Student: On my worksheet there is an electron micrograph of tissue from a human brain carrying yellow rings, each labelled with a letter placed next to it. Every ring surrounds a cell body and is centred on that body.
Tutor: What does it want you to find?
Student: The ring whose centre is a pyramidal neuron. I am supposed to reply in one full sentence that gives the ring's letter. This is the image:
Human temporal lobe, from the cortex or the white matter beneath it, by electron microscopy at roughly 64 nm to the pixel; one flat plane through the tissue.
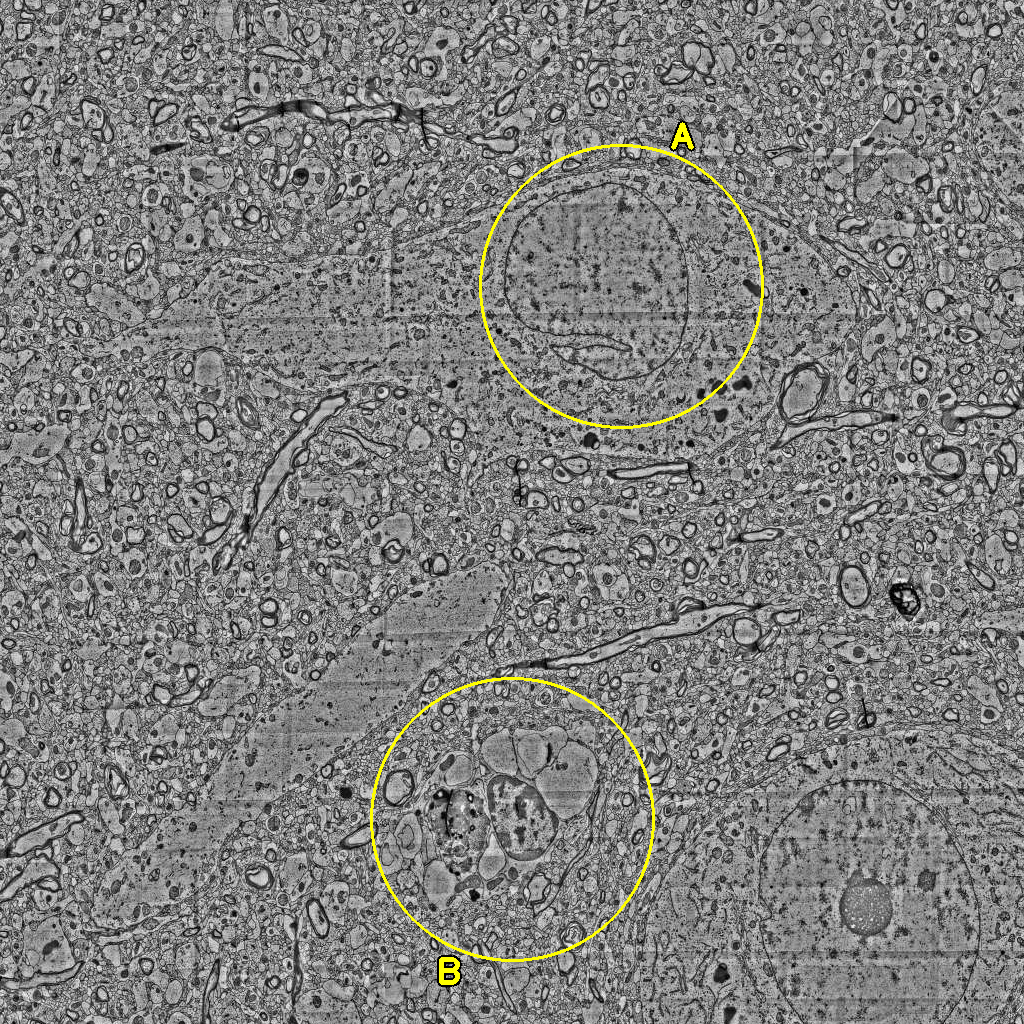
The cell asked for, shown in the picture, lies at the centre of ring A.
